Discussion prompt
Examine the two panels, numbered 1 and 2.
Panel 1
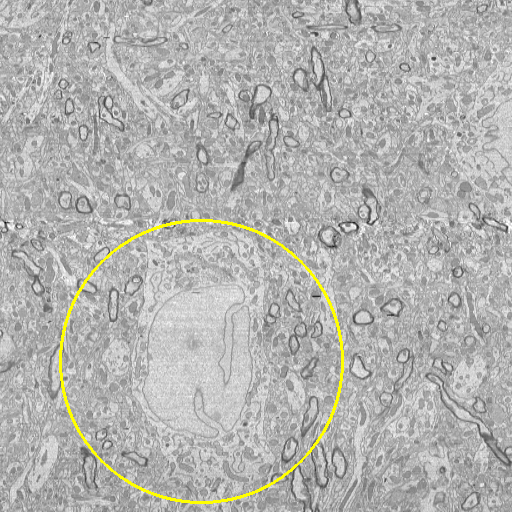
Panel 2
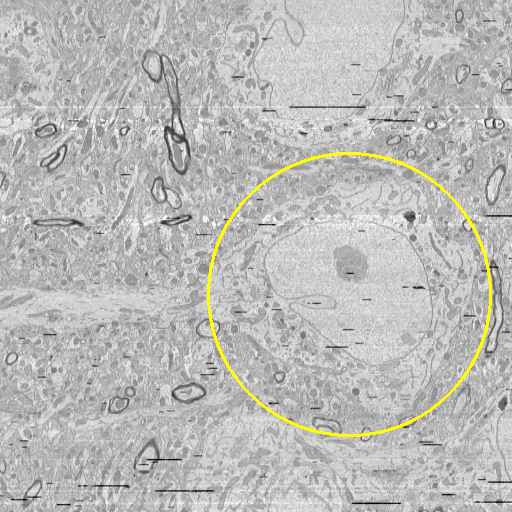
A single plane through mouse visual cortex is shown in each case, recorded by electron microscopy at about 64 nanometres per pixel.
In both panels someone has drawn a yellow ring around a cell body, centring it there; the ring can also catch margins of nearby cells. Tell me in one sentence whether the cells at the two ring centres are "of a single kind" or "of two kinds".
Taken together, the two cells centred in the rings of Panels 1 and 2 are of two kinds.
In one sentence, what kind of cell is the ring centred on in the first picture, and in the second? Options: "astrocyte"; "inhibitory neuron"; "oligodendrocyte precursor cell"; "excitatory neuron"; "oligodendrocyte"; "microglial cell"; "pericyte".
The cell at the centre of the second ring is an excitatory neuron; the first ring's cell is an inhibitory neuron.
